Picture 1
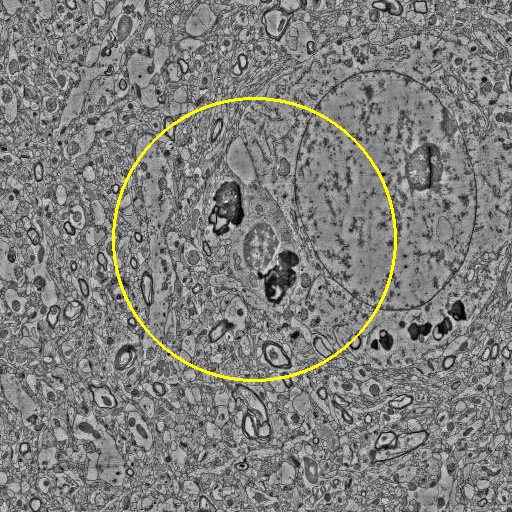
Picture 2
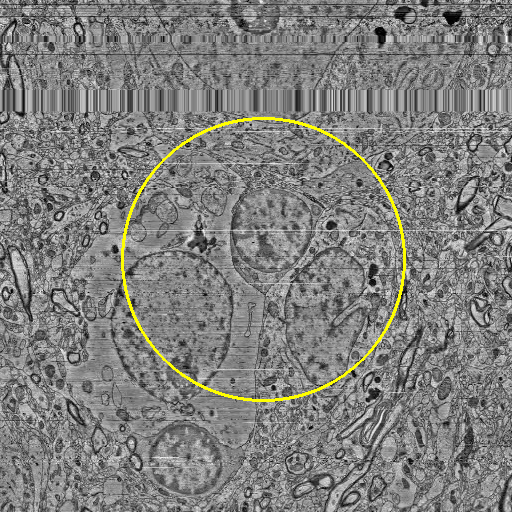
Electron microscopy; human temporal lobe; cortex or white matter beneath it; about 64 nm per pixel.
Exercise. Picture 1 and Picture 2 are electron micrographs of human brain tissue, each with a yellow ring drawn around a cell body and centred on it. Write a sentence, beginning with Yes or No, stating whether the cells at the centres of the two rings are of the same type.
Yes, the cells at the centres of both rings are of the same type.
